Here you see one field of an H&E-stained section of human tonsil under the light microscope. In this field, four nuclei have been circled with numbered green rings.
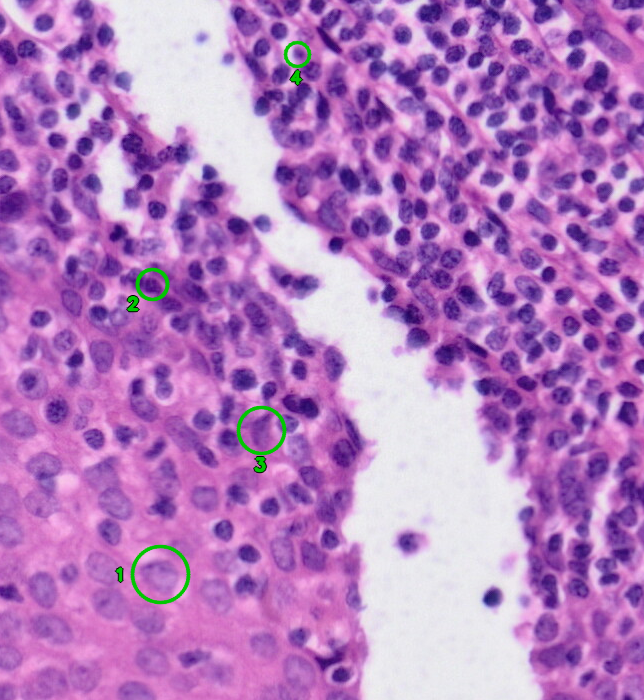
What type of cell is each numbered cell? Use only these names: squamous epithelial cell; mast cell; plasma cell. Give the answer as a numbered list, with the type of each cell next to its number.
1. squamous epithelial cell
2. squamous epithelial cell
3. squamous epithelial cell
4. plasma cell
